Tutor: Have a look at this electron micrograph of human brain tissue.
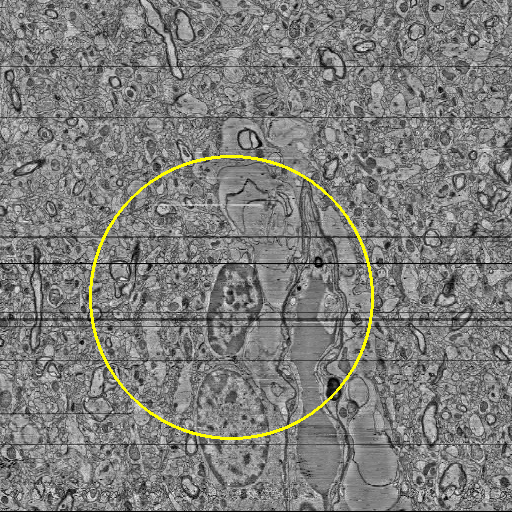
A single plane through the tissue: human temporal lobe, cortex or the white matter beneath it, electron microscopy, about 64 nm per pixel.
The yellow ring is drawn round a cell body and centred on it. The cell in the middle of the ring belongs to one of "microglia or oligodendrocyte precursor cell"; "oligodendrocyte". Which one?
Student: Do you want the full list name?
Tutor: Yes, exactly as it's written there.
microglia or oligodendrocyte precursor cell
